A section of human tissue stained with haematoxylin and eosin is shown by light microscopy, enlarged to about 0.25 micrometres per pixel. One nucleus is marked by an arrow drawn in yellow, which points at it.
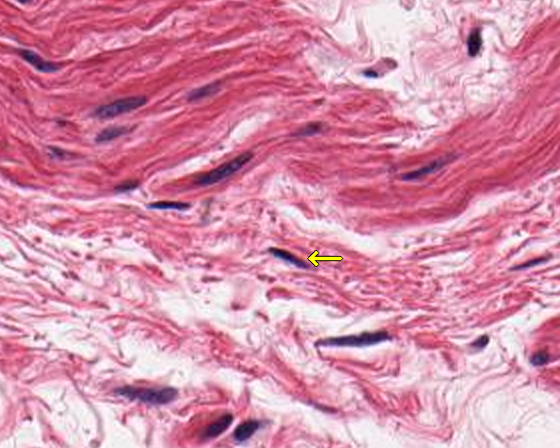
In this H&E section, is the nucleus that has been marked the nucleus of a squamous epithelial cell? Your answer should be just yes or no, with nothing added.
no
